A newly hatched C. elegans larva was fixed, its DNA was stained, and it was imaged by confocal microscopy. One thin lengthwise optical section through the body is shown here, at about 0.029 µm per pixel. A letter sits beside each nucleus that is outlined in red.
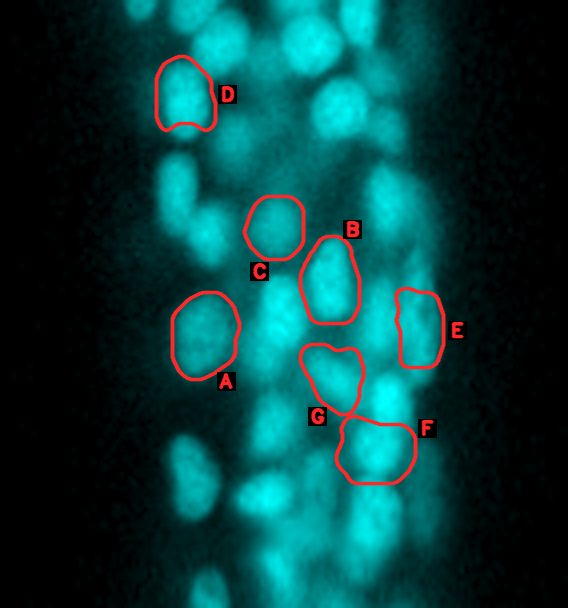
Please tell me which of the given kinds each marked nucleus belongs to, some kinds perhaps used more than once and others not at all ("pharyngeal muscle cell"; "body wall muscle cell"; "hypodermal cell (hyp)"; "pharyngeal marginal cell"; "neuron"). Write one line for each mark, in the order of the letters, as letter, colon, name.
A: body wall muscle cell
B: pharyngeal muscle cell
C: neuron
D: neuron
E: body wall muscle cell
F: hypodermal cell (hyp)
G: pharyngeal muscle cell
